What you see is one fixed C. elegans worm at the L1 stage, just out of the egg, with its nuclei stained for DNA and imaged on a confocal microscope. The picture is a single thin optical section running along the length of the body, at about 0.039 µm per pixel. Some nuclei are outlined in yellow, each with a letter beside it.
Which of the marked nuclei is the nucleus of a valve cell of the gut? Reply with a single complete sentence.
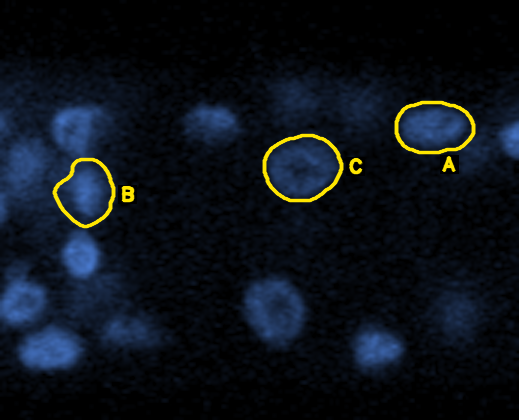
B is the one that belongs to a valve cell of the gut.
